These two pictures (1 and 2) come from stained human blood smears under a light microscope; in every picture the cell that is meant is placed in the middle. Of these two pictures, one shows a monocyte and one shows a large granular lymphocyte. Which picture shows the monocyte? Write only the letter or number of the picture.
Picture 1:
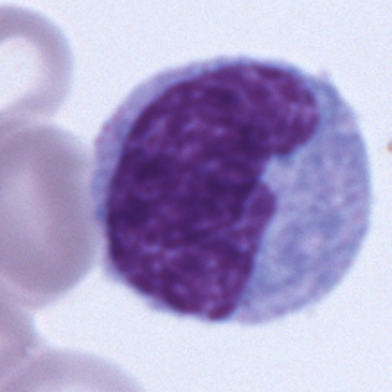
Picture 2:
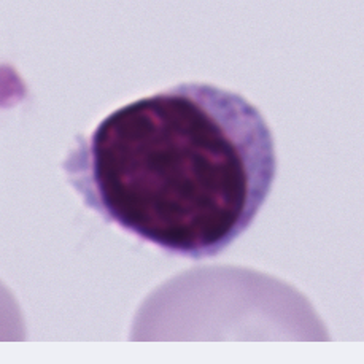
1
